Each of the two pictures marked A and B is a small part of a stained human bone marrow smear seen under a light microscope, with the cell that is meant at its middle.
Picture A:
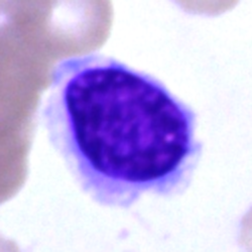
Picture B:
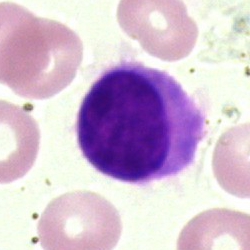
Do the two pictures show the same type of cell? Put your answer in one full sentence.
Yes; the cells in both pictures are hairy cells.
